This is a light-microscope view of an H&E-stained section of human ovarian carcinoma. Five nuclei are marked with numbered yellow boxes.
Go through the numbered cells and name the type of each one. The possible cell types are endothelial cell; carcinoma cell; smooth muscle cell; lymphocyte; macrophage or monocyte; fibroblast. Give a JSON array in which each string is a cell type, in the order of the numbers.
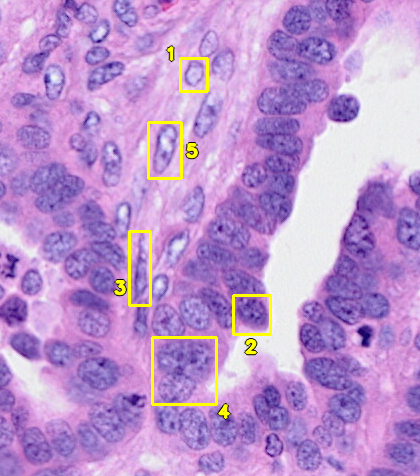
["fibroblast", "carcinoma cell", "fibroblast", "carcinoma cell", "fibroblast"]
